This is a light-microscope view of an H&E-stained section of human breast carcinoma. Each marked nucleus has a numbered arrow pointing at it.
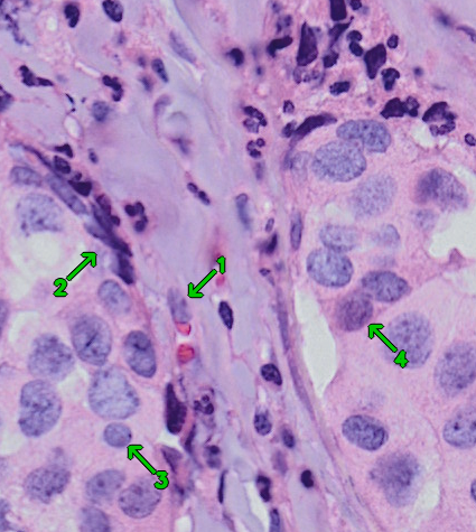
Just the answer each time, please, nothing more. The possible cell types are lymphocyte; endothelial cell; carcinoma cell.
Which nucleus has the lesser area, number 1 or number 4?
1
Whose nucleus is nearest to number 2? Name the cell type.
carcinoma cell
